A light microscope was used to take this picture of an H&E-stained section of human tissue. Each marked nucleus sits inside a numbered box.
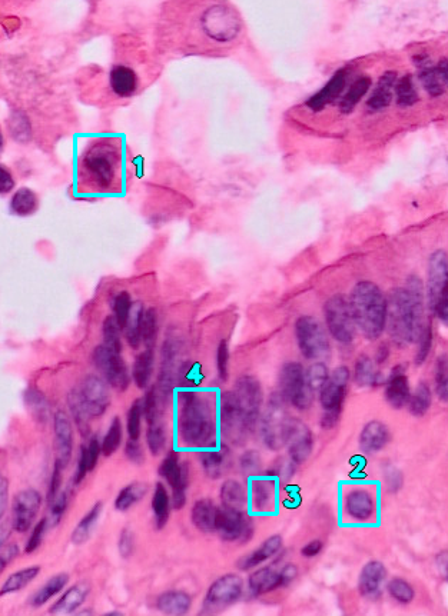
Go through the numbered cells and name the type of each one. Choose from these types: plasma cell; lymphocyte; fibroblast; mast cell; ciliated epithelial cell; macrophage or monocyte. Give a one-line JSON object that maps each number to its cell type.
{"1": "macrophage or monocyte", "2": "mast cell", "3": "ciliated epithelial cell", "4": "ciliated epithelial cell"}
